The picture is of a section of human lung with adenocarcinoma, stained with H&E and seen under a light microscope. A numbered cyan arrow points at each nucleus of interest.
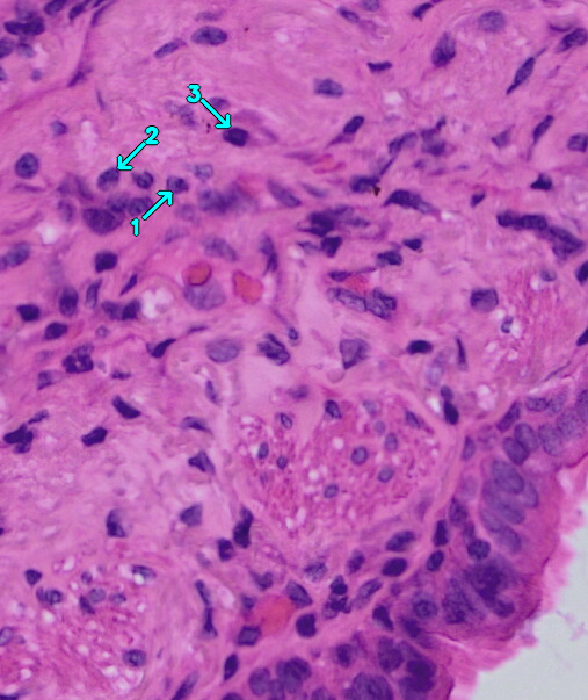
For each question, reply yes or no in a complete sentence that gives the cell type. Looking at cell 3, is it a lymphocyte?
No; cell 3 is a plasma cell, not a lymphocyte.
